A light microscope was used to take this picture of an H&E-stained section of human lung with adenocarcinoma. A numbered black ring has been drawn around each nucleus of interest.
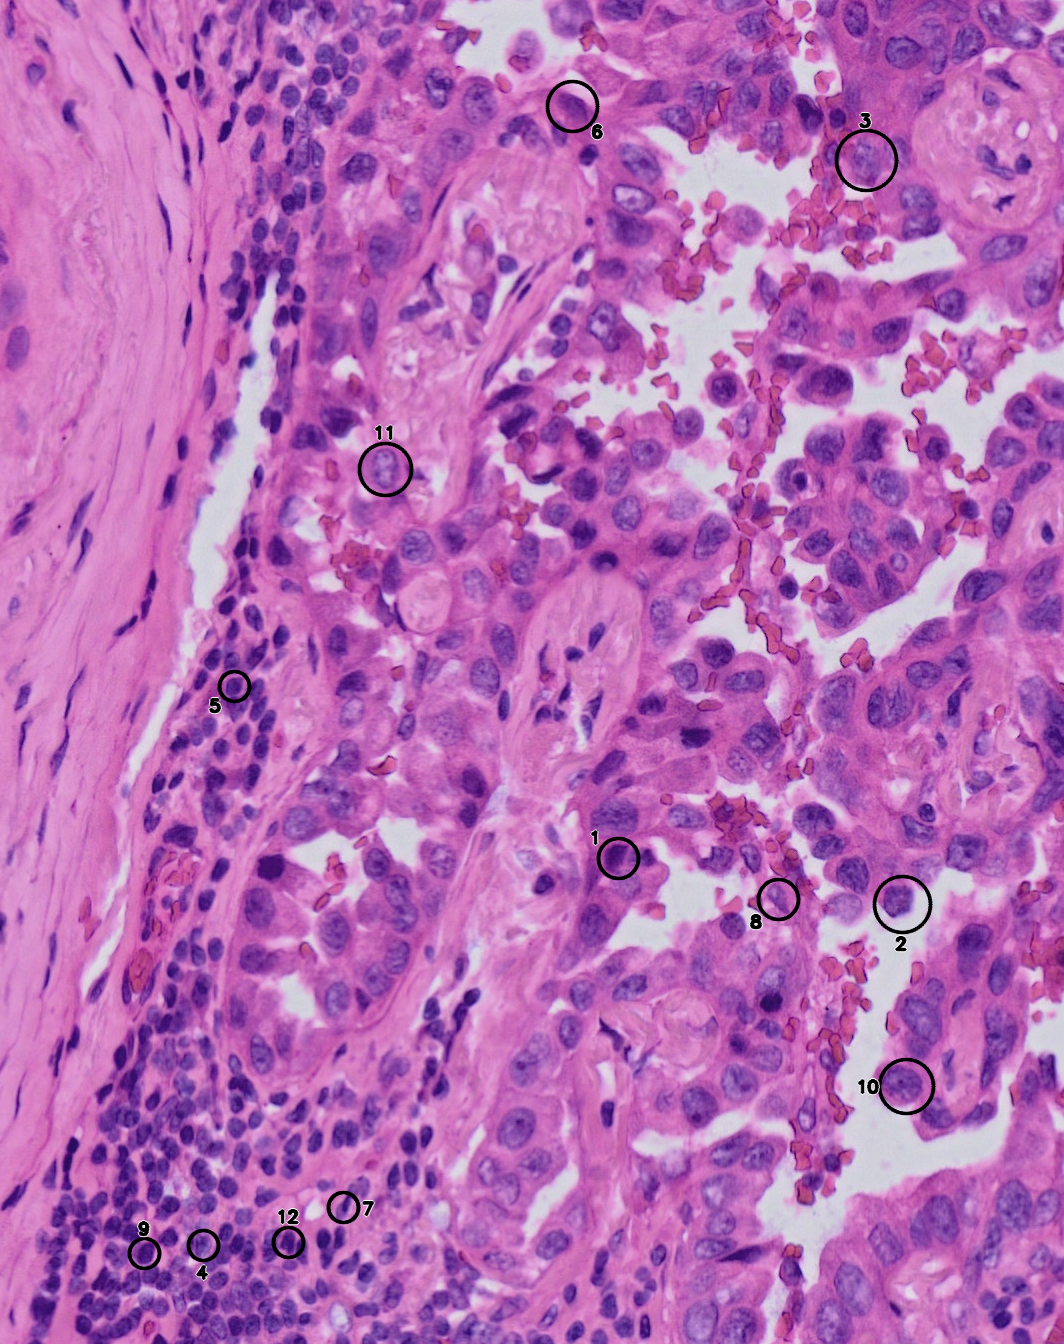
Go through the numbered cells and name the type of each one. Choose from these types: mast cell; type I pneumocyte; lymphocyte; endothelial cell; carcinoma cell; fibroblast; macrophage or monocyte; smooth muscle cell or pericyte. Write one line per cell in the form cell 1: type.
cell 1: carcinoma cell
cell 2: carcinoma cell
cell 3: carcinoma cell
cell 4: lymphocyte
cell 5: lymphocyte
cell 6: carcinoma cell
cell 7: lymphocyte
cell 8: macrophage or monocyte
cell 9: lymphocyte
cell 10: carcinoma cell
cell 11: carcinoma cell
cell 12: lymphocyte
